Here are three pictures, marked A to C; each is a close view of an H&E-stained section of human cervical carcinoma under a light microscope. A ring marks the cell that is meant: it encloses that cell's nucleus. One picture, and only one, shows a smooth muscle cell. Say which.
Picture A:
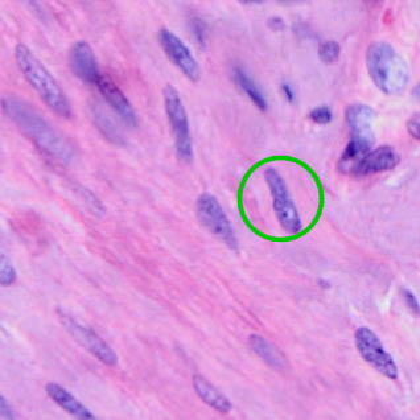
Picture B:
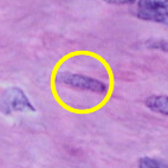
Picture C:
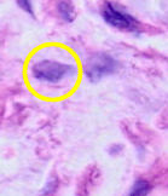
B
